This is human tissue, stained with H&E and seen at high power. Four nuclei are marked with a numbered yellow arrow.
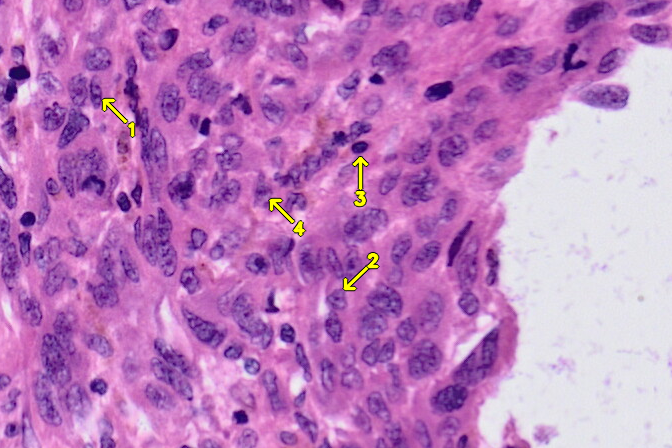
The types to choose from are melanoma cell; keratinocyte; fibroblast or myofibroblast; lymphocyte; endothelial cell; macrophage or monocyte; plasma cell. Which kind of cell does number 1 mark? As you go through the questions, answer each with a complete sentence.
The one numbered 1 among the marked cells is a melanoma cell.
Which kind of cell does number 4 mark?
The cell bearing label 4 corresponds to a melanoma cell.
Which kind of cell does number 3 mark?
Cell 3, among those numbered, is a lymphocyte.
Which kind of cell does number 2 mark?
As for number 2, that cell is a melanoma cell.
